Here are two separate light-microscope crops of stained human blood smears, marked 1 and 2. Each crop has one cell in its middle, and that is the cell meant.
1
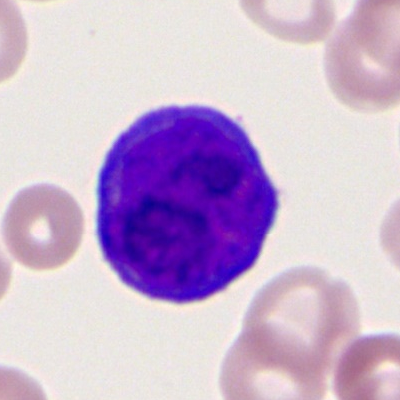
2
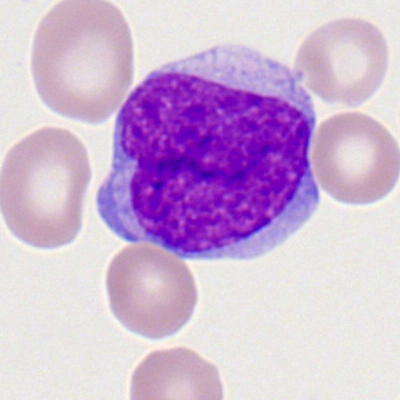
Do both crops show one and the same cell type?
yes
